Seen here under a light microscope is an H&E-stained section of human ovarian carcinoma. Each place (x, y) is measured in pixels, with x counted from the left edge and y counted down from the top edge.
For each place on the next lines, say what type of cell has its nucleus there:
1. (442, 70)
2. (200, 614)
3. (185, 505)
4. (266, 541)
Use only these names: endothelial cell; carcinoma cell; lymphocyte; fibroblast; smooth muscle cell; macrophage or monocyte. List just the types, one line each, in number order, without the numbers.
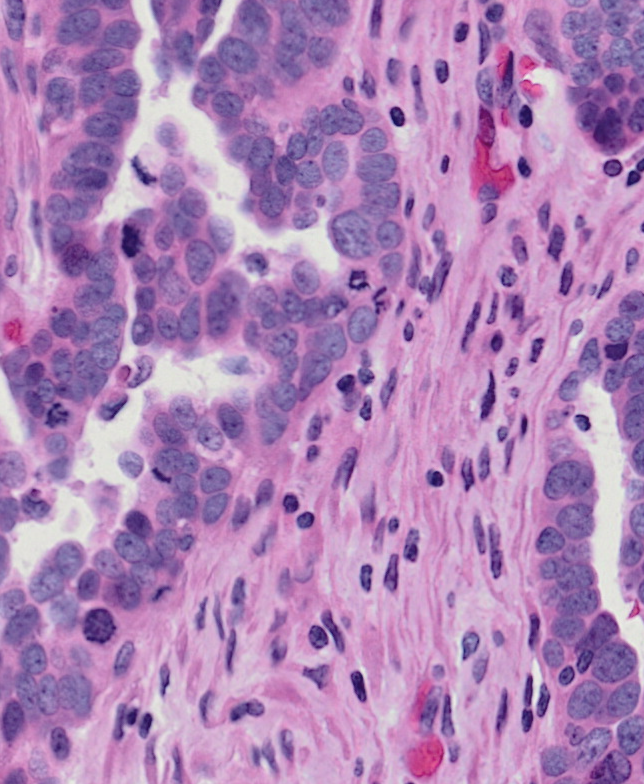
lymphocyte
fibroblast
carcinoma cell
fibroblast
